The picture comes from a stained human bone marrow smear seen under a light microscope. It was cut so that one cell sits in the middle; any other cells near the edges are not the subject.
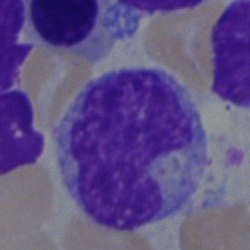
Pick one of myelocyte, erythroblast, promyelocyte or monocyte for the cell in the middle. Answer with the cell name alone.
monocyte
